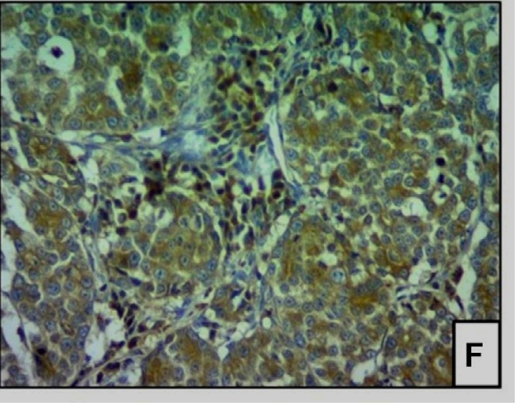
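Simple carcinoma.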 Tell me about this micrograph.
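Nests of large polygonal tumor cells are separated by thin fibrous septa. Their ample cytoplasm is diffusely brown, while the round nuclei with visible nucleoli stand out as paler bodies within it.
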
